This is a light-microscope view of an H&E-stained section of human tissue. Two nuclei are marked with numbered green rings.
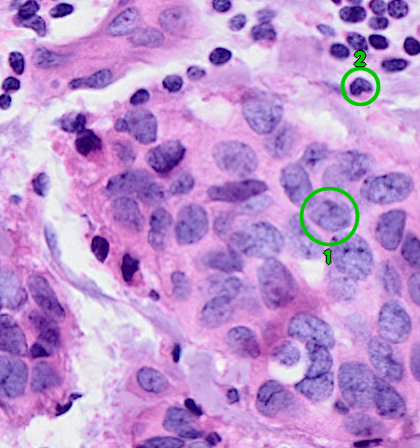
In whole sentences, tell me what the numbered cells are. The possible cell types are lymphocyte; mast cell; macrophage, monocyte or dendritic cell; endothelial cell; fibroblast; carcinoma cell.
Cell 1 is a carcinoma cell and cell 2 is a lymphocyte.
